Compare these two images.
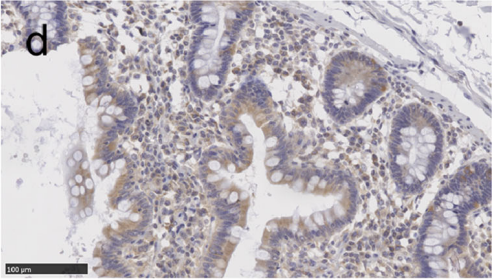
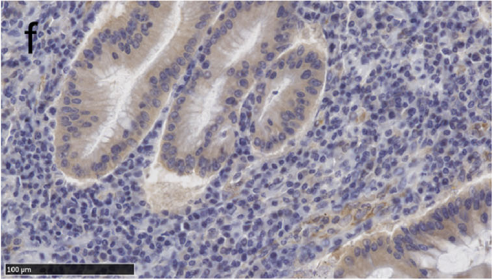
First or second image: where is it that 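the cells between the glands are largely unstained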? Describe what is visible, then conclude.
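First image: many cells in the connective tissue between the glands show brown cytoplasm. Second image: the dense cells between the glands have blue nuclei with little or no brown.
The second image.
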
